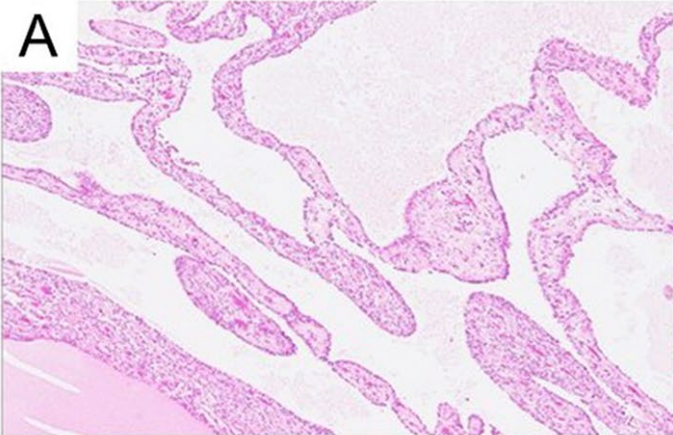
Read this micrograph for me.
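Low-power view of a tumor with multiple cystic spaces separated by thin, branching pink septa of cellular tissue. The cystic spaces hold faint pale material, and some septa form rounded, finger-like projections into the spaces. A band of dense, homogeneous pink material lies in the lower left corner.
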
